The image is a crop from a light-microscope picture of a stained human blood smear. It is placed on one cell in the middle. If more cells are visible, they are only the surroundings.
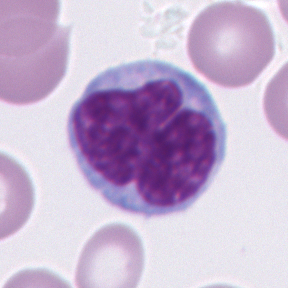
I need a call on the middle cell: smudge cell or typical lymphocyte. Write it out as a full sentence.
Classified as a typical lymphocyte is the cell in the middle of this crop.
